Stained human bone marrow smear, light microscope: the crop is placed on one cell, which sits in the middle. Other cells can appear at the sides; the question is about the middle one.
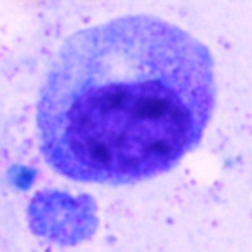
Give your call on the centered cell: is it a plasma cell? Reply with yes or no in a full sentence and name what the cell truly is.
No, the cell found centrally in the crop is a promyelocyte, not a plasma cell.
